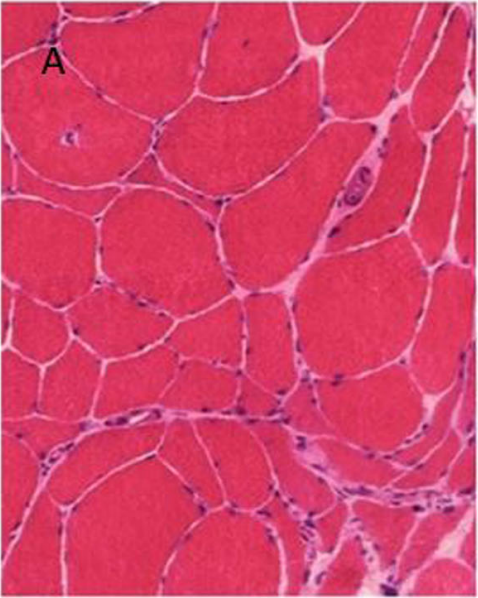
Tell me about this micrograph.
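This is skeletal muscle cut across, with the muscle fibers stained pink and their nuclei dark purple. The fibers vary widely in size: large rounded or polygonal fibers lie next to much smaller ones with sharp, angular outlines. The nuclei sit at the edges of the fibers, and the pale spaces between fibers carry many small flattened nuclei.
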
